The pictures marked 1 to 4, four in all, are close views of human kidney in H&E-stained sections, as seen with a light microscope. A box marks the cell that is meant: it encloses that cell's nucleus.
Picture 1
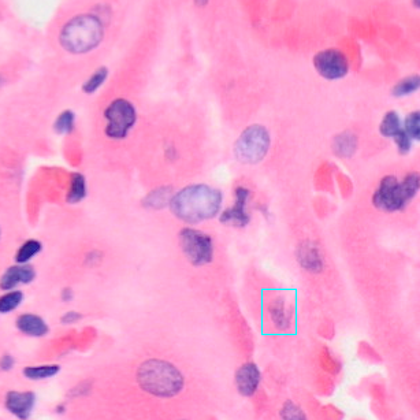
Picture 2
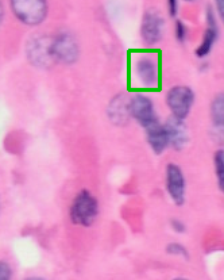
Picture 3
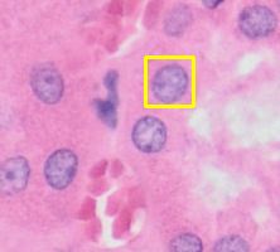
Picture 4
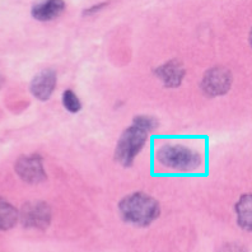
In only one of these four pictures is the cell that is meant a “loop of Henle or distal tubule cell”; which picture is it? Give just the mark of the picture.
2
